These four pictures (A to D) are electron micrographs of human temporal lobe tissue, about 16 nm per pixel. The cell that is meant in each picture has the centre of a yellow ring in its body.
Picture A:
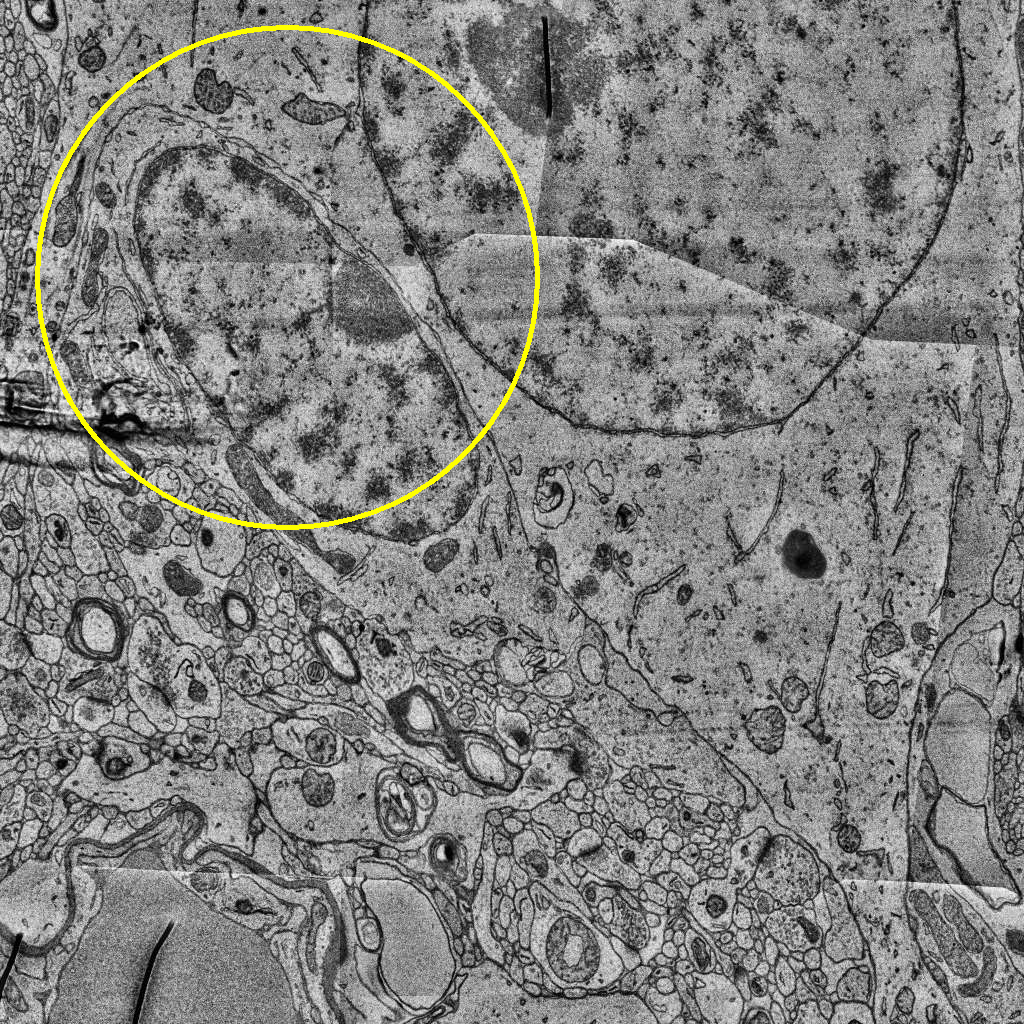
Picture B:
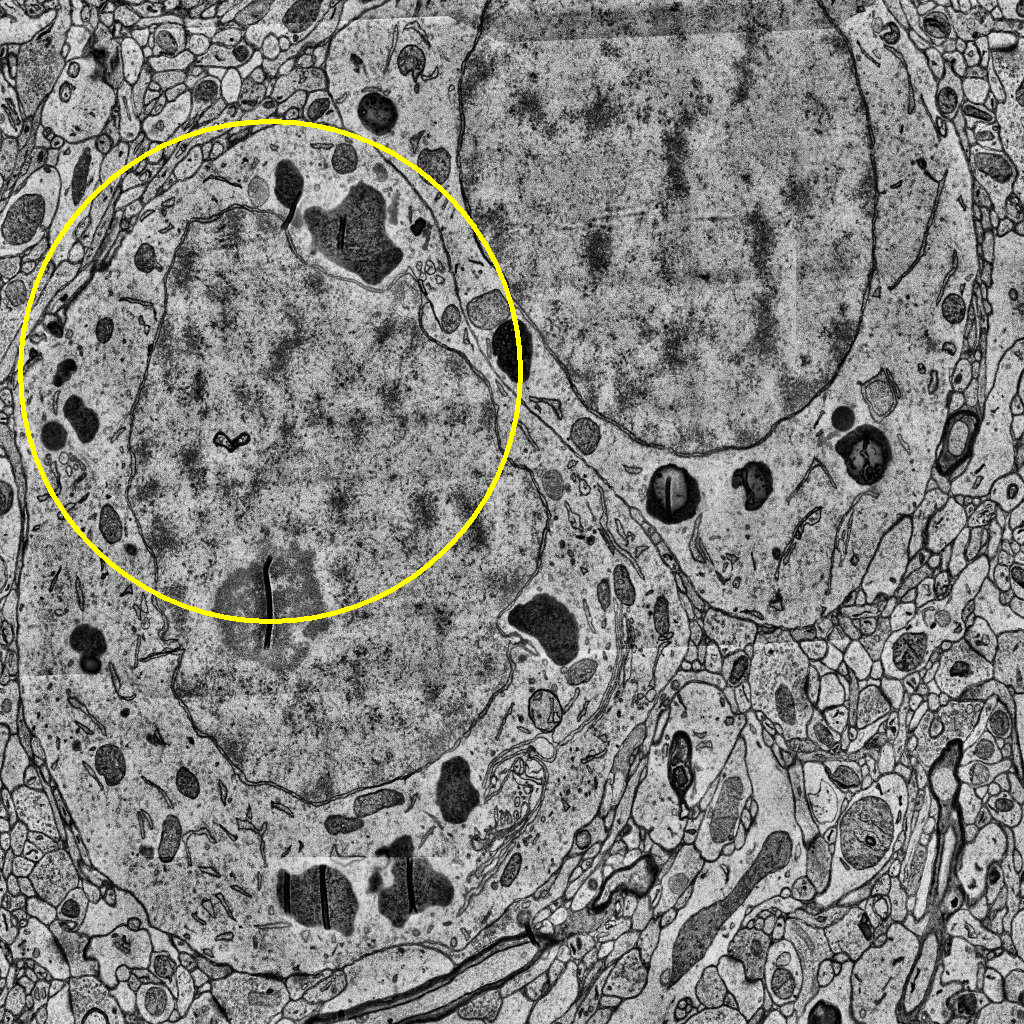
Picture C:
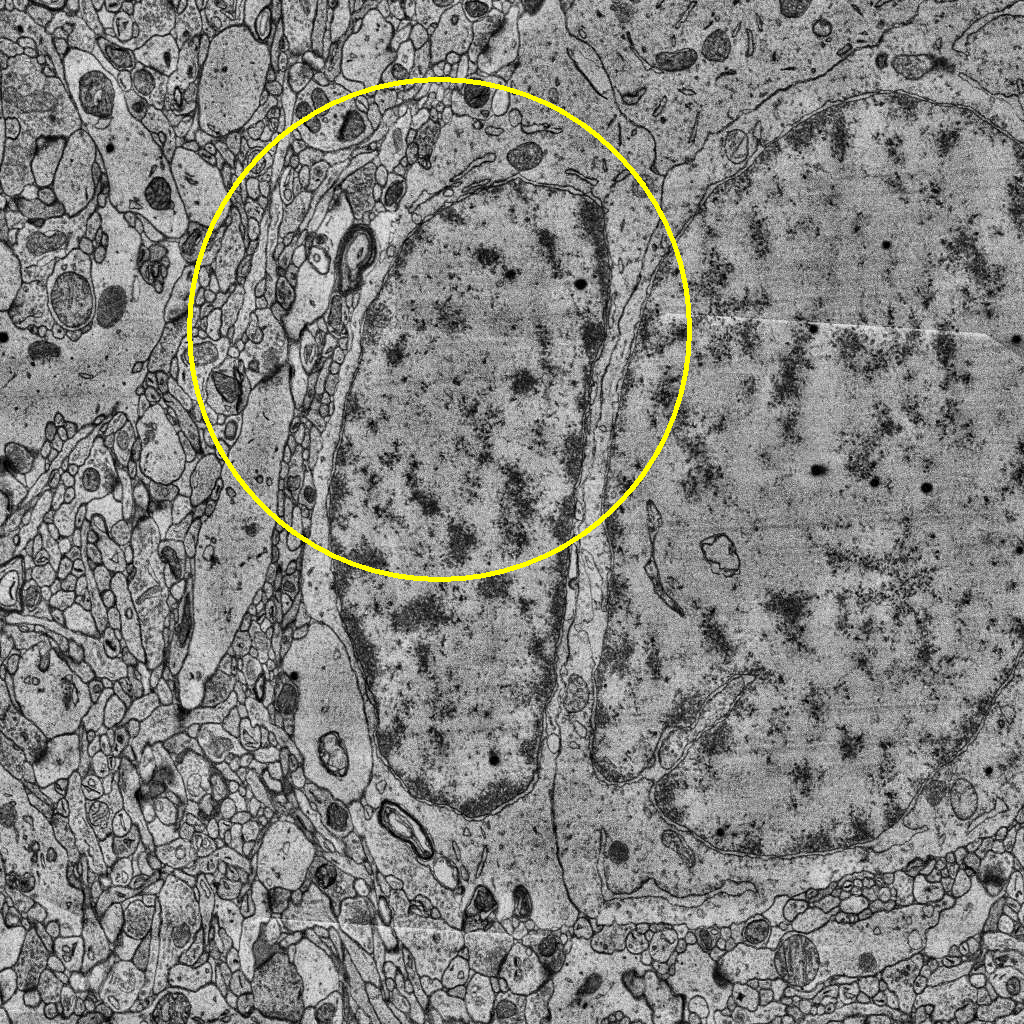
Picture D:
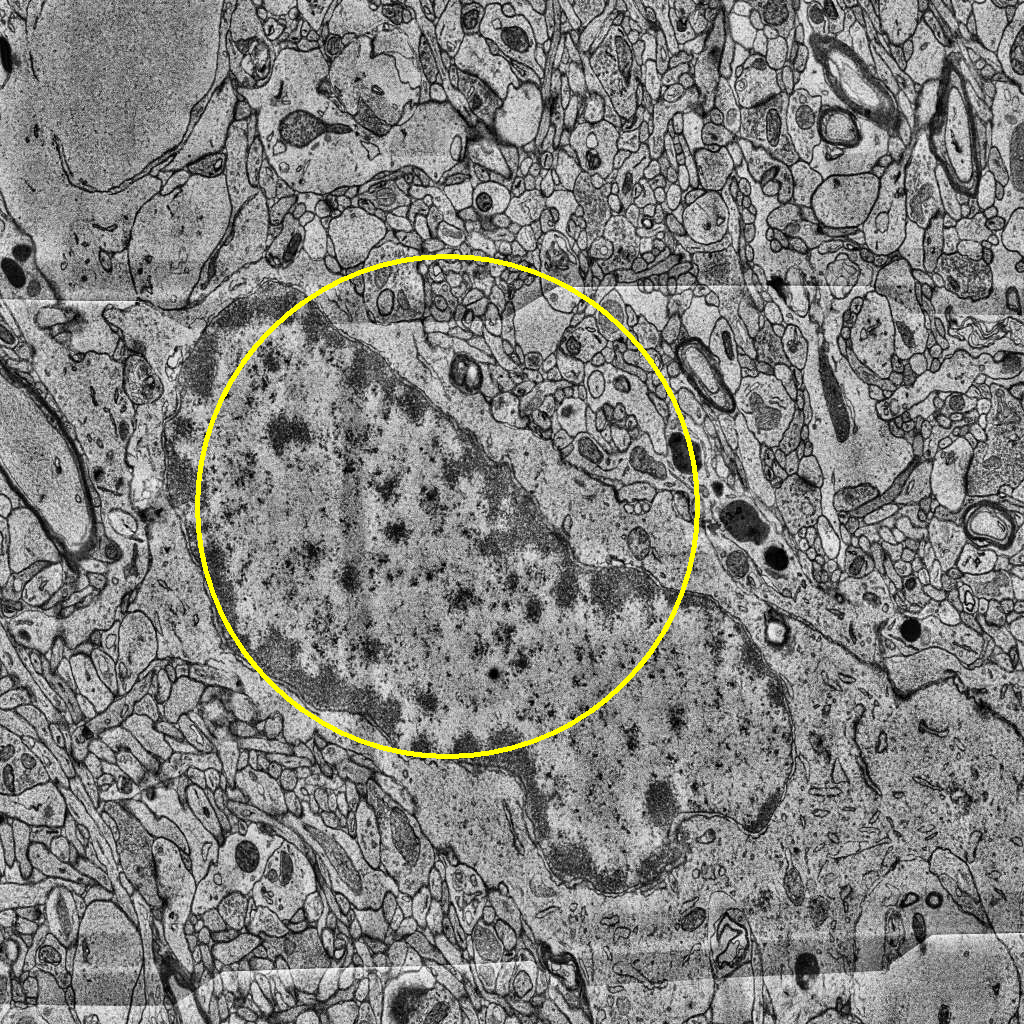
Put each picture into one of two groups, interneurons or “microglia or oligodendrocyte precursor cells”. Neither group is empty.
Picture B shows an interneuron, and pictures A, C and D show “microglia or oligodendrocyte precursor cells”.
